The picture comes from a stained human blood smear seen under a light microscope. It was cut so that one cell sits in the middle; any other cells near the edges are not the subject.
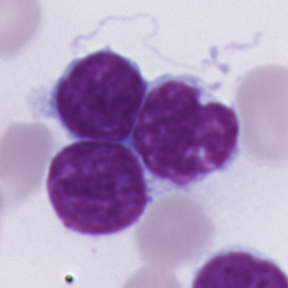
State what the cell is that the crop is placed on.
blast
